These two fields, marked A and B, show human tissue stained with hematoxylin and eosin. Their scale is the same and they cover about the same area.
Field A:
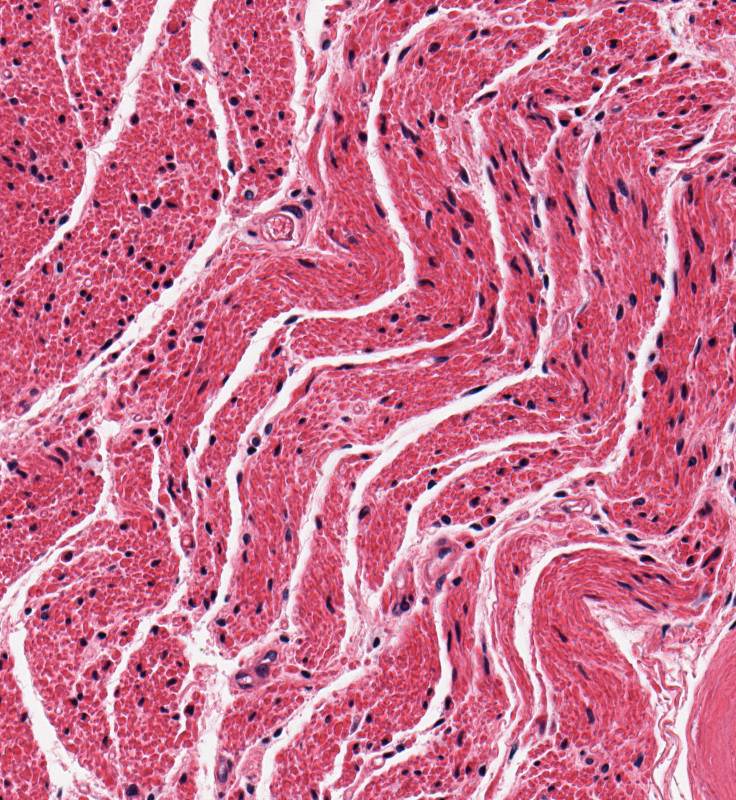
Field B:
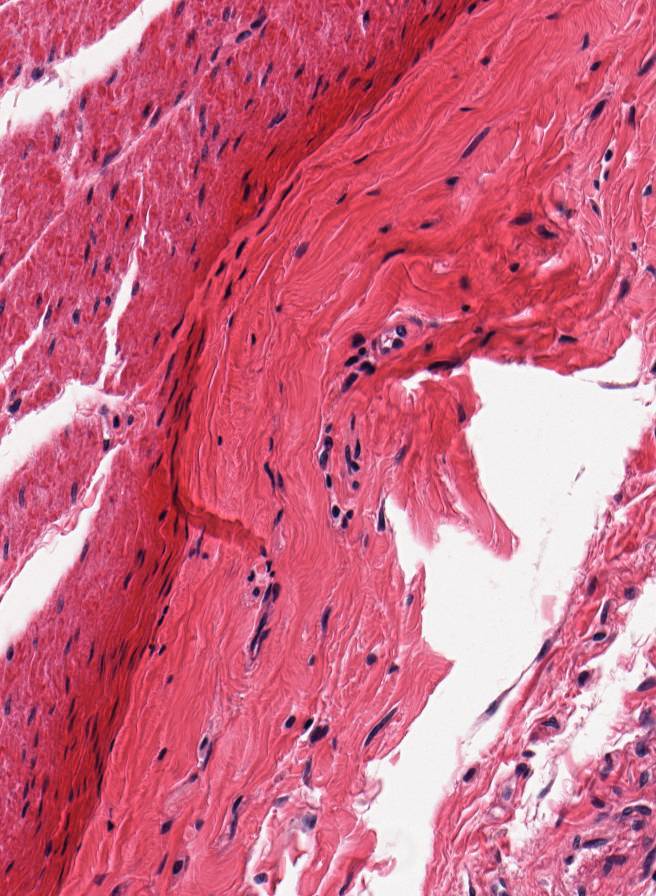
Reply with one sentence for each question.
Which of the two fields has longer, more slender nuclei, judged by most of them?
It is field B whose nuclei are the more elongated.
